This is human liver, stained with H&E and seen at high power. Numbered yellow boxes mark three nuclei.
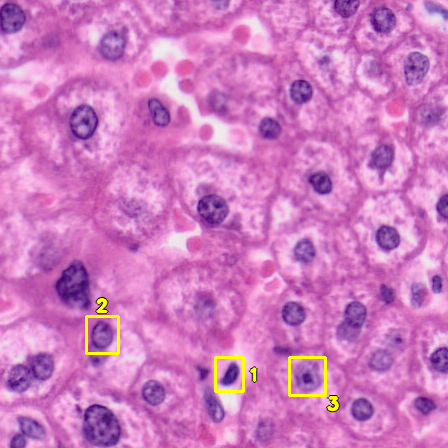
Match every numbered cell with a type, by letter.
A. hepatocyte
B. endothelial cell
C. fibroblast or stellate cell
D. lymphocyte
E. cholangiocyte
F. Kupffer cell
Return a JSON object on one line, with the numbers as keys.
{"1": "D", "2": "A", "3": "A"}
